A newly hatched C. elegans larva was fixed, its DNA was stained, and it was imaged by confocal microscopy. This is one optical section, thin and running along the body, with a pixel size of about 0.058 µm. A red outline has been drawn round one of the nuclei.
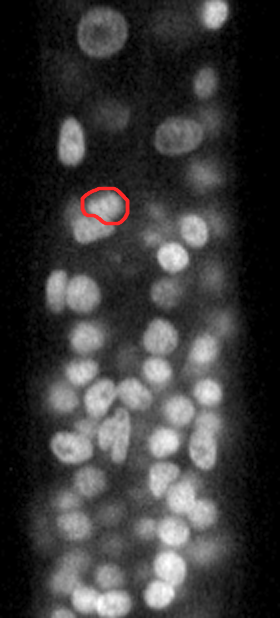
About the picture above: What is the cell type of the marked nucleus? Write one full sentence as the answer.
The cell with the marked nucleus is a valve cell of the gut.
